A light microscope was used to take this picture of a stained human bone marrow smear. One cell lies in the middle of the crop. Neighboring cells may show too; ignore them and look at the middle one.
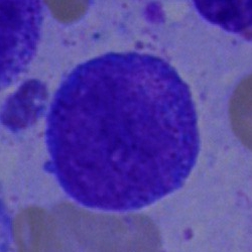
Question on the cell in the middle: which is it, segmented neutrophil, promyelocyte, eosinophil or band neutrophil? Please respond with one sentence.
The cell at the middle of the crop is recognized as a promyelocyte.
